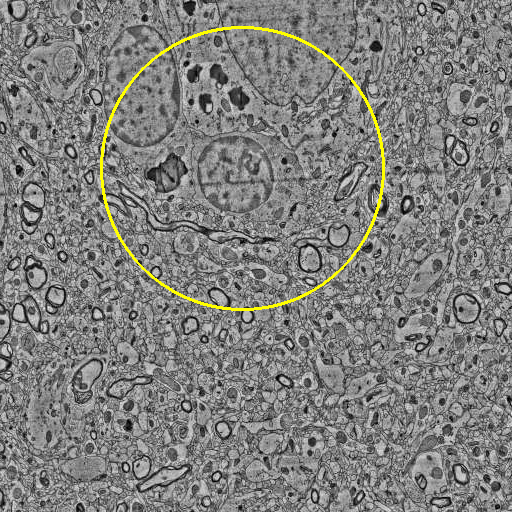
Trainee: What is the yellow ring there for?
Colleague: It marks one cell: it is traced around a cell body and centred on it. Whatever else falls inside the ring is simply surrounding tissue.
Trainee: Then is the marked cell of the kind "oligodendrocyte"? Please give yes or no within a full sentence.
Yes, the marked cell at the centre of the yellow ring is of the kind asked about.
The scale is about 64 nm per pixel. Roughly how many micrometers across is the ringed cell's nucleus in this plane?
Roughly 5 micrometres across, measured in this plane.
